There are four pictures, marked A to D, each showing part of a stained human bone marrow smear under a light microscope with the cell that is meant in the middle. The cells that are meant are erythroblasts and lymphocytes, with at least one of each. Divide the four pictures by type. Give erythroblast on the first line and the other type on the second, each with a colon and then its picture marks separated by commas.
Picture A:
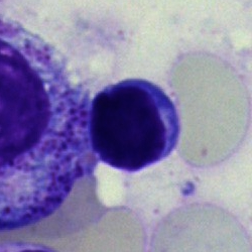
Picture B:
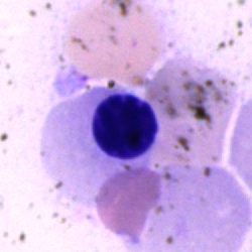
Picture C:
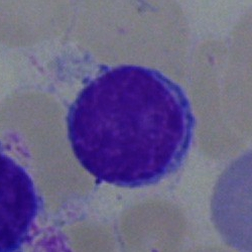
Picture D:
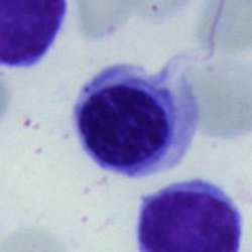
erythroblast: B, D
lymphocyte: A, C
